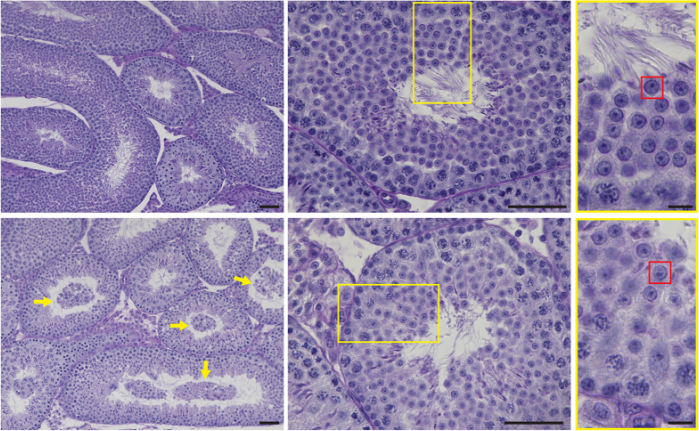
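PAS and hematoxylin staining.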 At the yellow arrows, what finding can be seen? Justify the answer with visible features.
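The yellow arrows point to clusters of round cells lying loose in the tubule lumens. These cells are detached from the epithelium lining the tubule wall. The answer: sloughed germ cells.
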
